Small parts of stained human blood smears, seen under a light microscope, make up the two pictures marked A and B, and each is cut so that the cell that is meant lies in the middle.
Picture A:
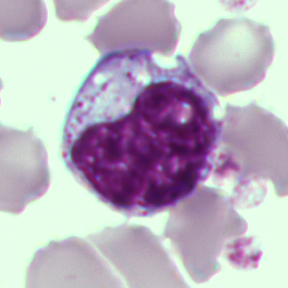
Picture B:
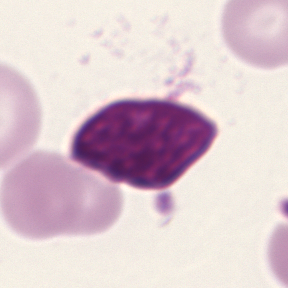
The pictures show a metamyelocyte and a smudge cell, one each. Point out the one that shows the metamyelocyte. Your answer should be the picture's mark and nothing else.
A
